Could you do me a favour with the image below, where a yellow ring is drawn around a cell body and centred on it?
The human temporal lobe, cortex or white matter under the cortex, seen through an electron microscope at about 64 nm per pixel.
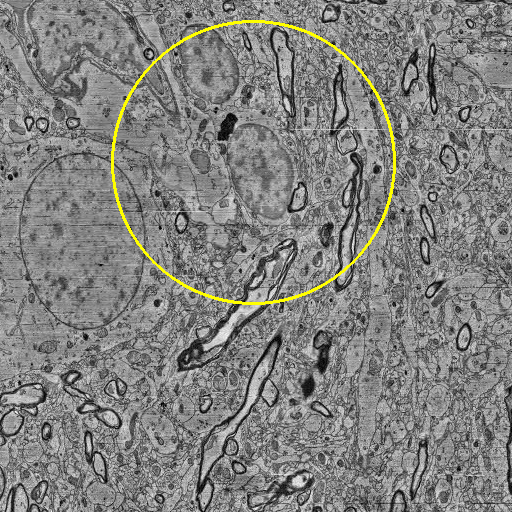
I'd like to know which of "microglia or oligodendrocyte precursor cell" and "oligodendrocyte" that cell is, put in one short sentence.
The cell at the ring's centre is an oligodendrocyte.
